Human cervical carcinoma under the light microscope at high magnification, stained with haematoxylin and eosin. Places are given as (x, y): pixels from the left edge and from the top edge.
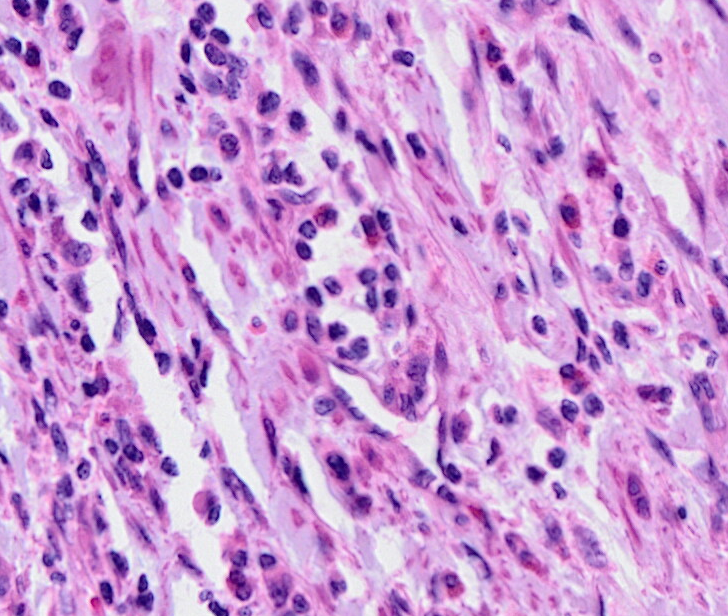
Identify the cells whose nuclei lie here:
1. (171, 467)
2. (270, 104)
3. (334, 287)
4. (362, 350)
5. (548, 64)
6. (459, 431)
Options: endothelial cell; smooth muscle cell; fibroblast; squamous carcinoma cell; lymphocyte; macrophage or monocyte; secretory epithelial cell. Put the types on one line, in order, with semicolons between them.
lymphocyte; lymphocyte; lymphocyte; lymphocyte; fibroblast; macrophage or monocyte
